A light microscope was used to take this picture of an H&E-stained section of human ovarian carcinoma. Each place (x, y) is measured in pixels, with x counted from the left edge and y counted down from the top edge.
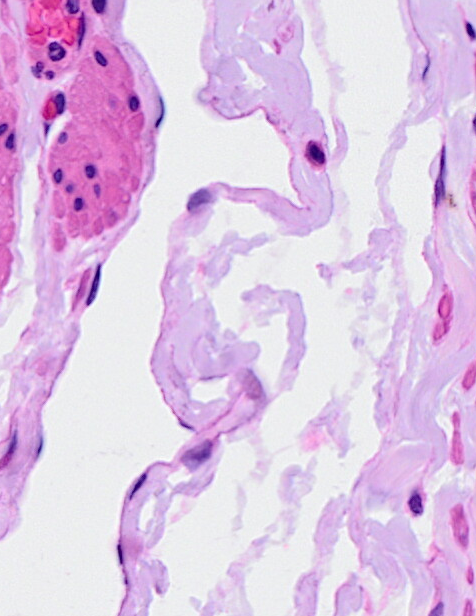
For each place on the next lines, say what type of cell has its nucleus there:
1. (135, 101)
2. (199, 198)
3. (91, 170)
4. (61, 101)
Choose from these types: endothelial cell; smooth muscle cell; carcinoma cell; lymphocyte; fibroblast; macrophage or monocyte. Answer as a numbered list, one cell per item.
1. smooth muscle cell
2. endothelial cell
3. smooth muscle cell
4. endothelial cell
